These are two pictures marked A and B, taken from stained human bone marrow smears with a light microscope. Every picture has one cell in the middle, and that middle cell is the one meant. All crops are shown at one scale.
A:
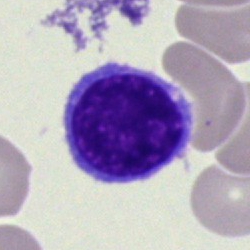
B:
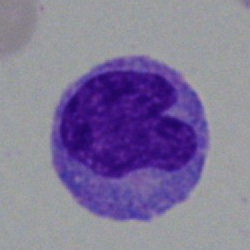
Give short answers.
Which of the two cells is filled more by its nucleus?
A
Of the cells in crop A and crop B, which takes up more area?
B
